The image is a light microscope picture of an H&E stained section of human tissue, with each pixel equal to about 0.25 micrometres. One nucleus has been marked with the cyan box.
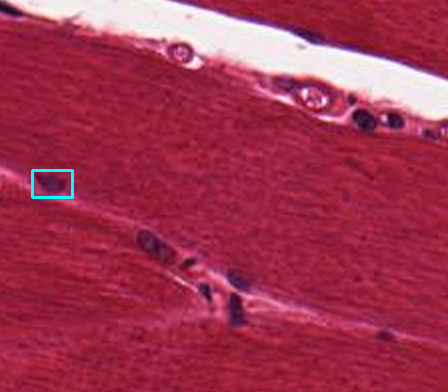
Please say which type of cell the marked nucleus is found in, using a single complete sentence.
What the marked nucleus belongs to is a skeletal muscle fibre.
